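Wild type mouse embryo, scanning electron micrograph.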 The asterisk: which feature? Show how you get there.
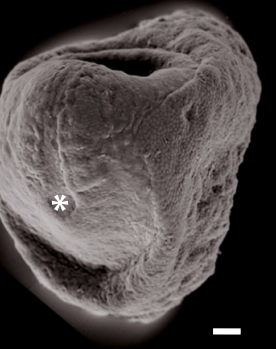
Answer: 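The asterisk lies at a small pit near the caudal end of a midline groove on the embryo surface. Head folds rise at the upper end of the embryo, away from the asterisk. The answer: node.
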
